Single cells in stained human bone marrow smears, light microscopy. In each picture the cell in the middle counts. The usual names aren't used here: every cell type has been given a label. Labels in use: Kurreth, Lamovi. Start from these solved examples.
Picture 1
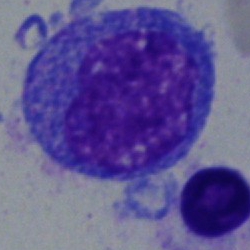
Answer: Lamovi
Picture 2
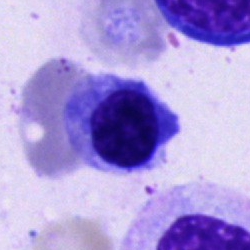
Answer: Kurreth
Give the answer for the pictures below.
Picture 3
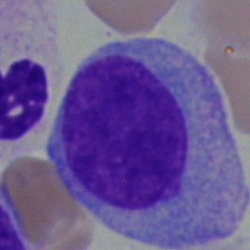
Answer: Lamovi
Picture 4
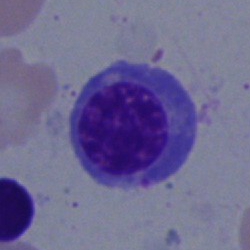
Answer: Kurreth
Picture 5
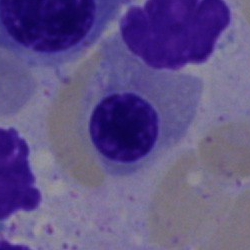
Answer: Kurreth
